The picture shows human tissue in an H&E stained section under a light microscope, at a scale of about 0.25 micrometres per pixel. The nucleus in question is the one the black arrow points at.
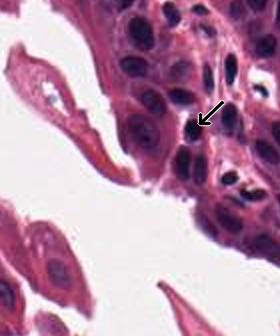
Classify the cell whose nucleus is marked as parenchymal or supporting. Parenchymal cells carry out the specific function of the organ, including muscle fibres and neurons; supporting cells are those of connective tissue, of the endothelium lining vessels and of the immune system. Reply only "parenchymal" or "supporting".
supporting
